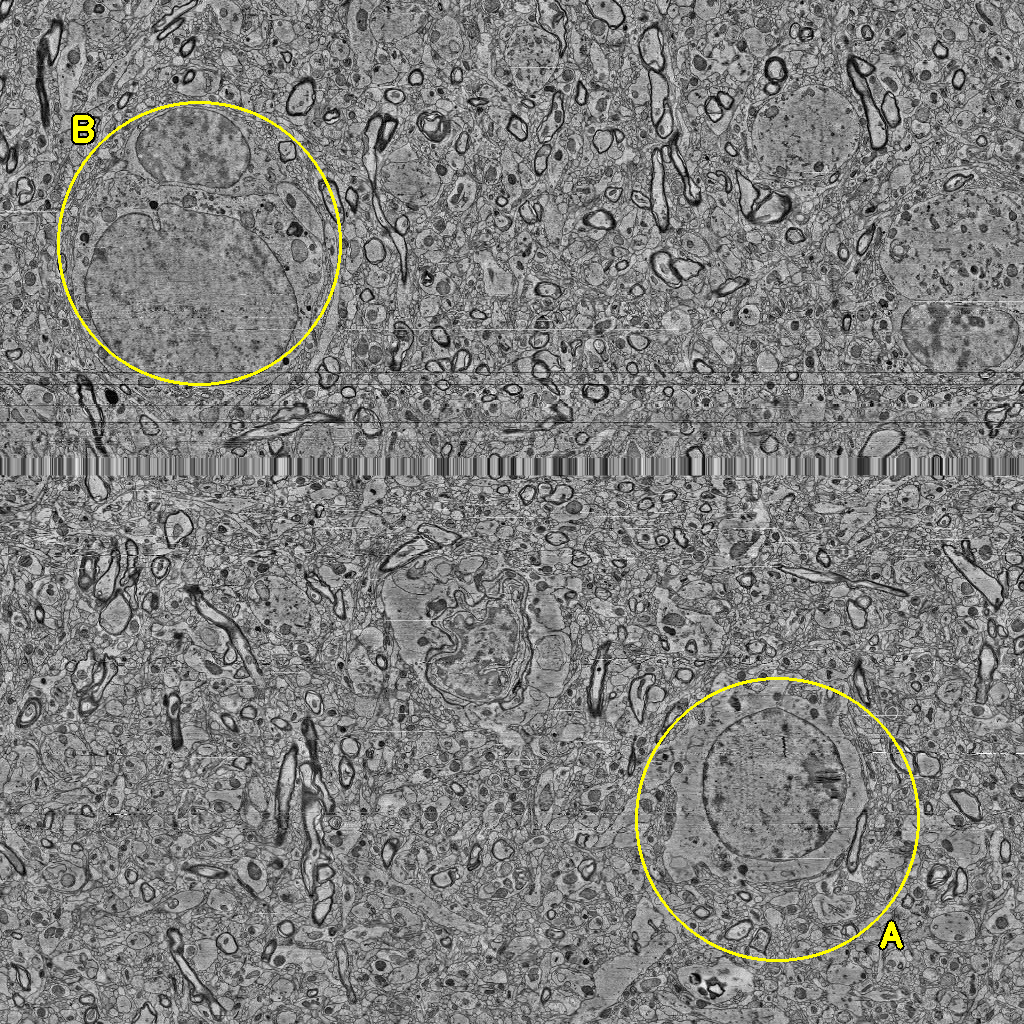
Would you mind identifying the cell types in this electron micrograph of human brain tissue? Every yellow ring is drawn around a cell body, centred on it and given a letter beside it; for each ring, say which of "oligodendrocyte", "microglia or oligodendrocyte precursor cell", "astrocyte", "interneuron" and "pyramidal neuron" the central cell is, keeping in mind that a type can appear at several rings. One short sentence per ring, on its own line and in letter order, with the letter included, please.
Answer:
At the centre of ring A lies an astrocyte.
At the centre of ring B lies a pyramidal neuron.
